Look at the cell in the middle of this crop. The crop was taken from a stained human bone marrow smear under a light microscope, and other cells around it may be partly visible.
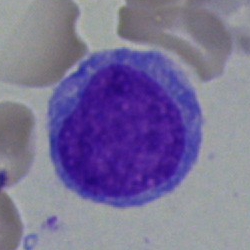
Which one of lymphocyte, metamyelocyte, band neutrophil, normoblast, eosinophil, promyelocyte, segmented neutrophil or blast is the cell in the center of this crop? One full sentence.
In the crop, the cell of interest at the centre is a blast.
